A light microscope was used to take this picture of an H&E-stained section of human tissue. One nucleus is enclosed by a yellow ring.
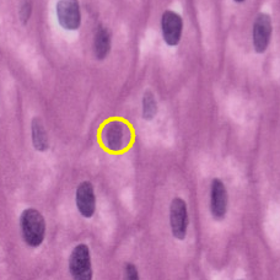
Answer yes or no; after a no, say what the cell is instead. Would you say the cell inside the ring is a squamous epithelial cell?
Yes.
